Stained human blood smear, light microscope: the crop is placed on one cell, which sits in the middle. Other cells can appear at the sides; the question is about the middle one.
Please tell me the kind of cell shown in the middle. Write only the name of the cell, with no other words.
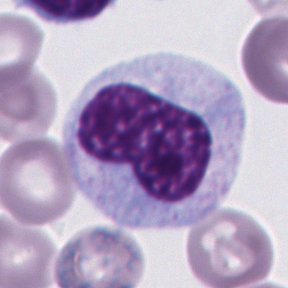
metamyelocyte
